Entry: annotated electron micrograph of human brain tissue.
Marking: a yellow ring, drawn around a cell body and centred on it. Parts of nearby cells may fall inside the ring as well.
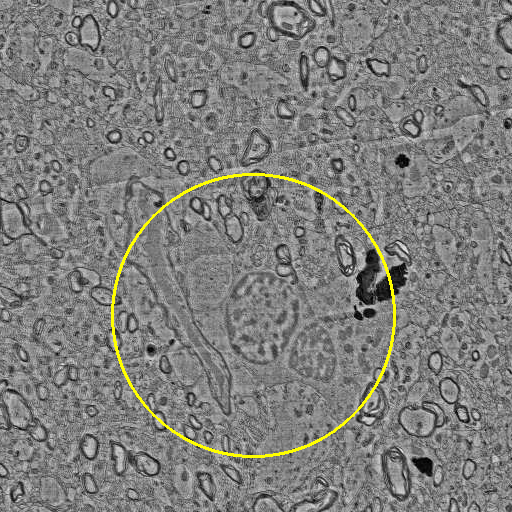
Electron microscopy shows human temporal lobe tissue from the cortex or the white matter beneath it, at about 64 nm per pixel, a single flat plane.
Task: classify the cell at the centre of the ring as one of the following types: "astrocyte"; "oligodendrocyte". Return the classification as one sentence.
The marked cell is classified as an oligodendrocyte.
